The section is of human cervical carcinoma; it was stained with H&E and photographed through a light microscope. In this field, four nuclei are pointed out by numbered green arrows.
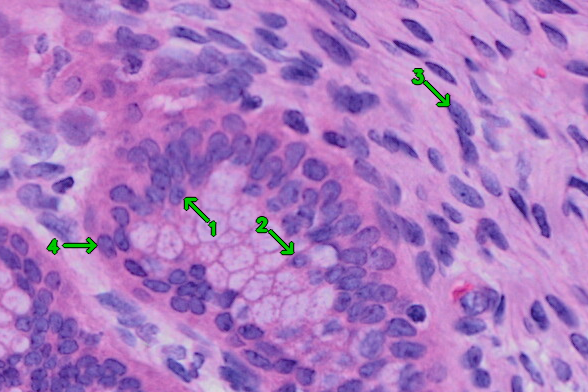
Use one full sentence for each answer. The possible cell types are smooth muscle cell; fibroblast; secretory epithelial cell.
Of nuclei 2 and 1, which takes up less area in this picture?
It is nucleus 2; nucleus 1 has about 1.5 times its area.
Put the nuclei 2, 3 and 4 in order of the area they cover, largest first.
Largest first, the order by area is 3, 4, 2.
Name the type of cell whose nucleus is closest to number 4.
It is a secretory epithelial cell whose nucleus is nearest to number 4.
